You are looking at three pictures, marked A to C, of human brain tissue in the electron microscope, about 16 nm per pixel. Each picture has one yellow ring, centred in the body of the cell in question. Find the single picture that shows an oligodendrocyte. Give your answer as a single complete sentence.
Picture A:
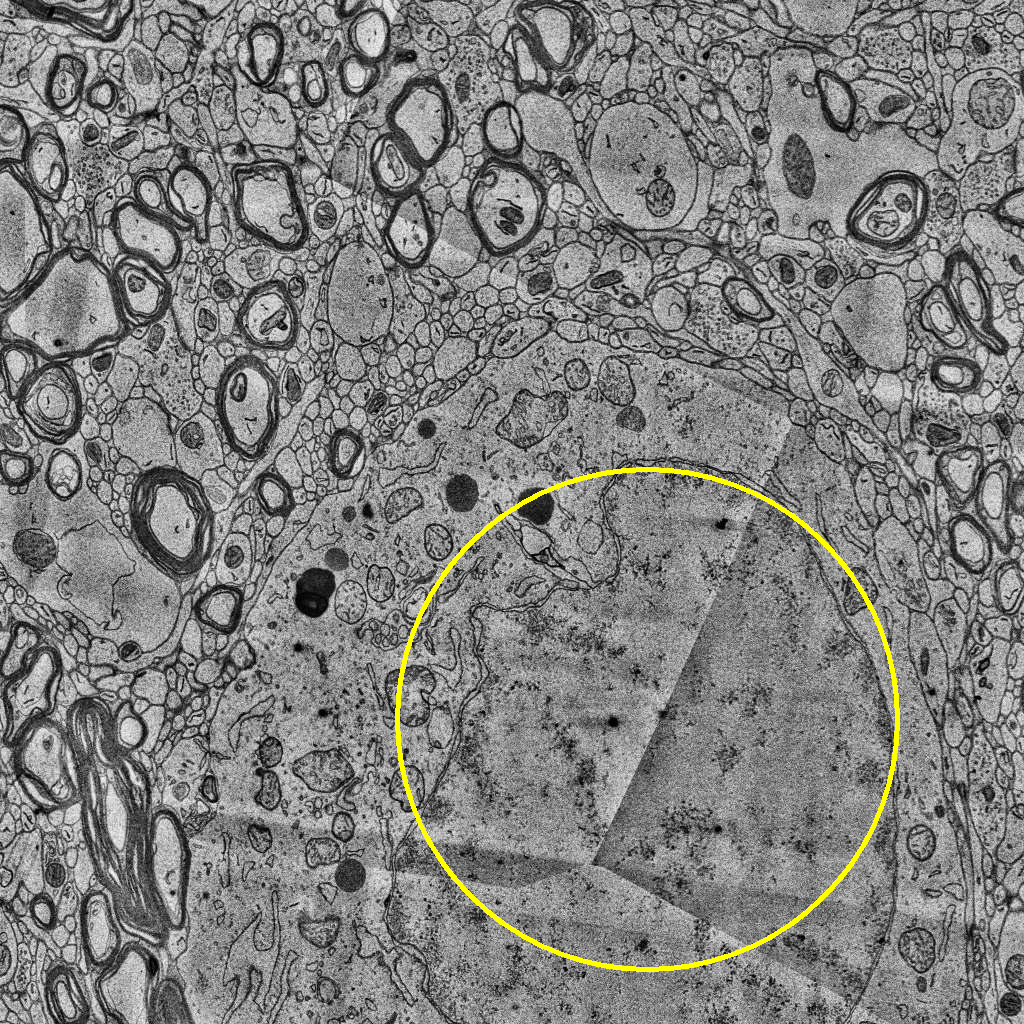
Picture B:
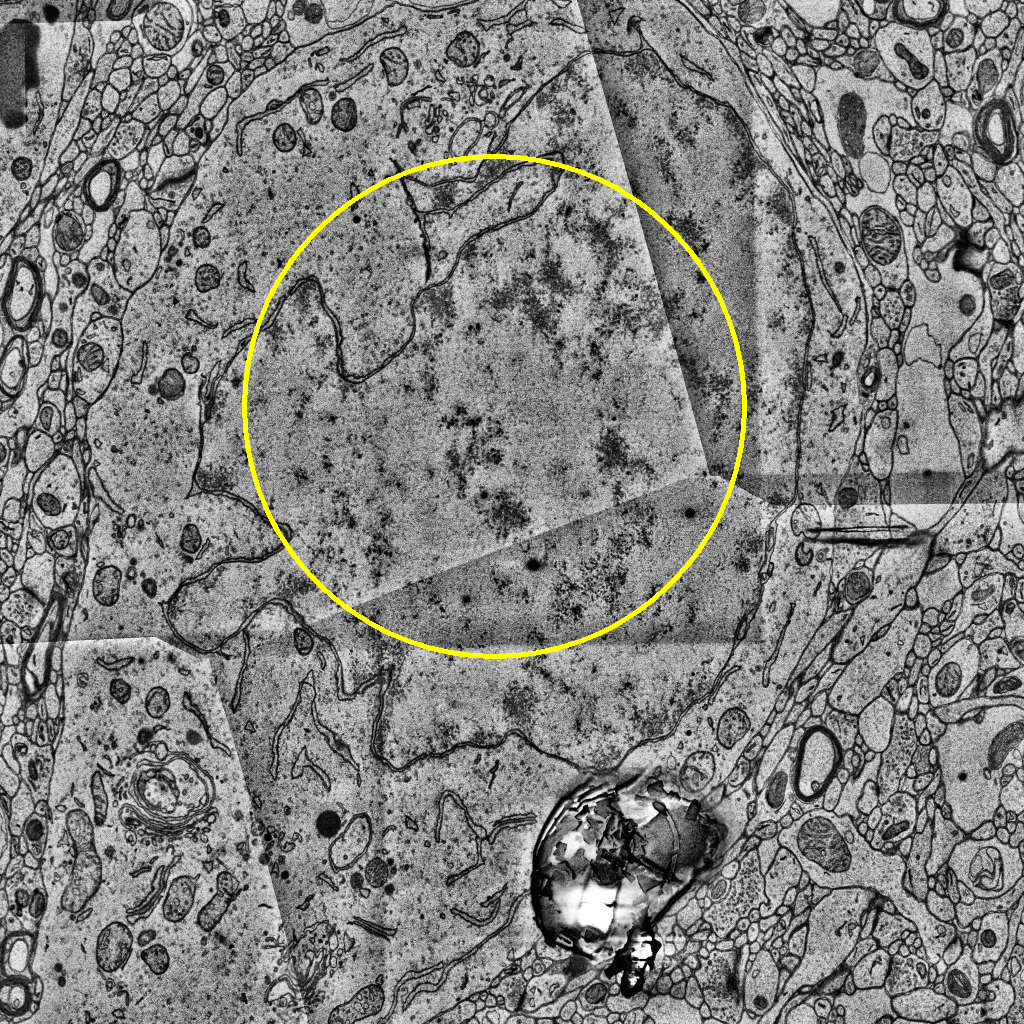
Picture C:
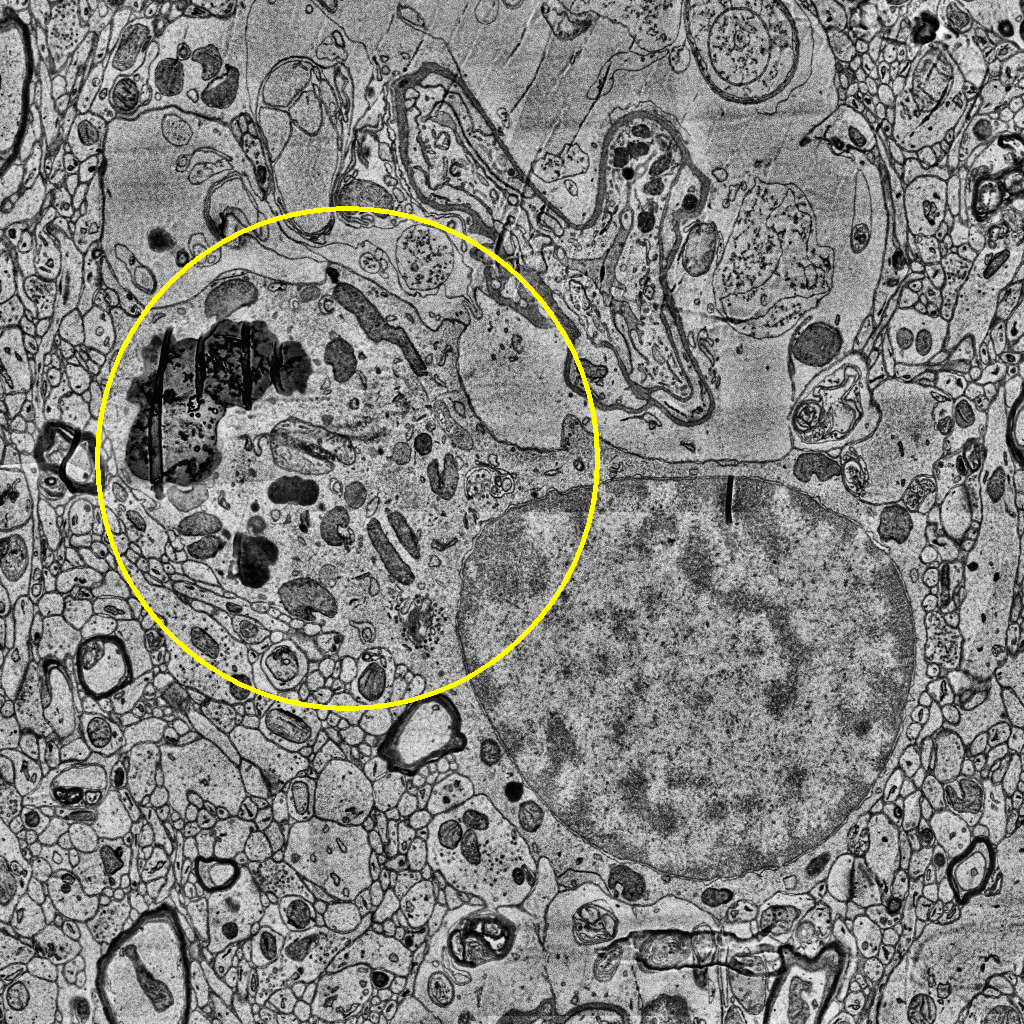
The cell in picture C is the oligodendrocyte.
